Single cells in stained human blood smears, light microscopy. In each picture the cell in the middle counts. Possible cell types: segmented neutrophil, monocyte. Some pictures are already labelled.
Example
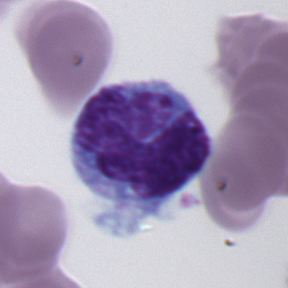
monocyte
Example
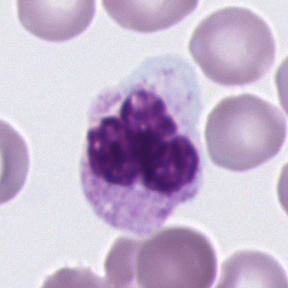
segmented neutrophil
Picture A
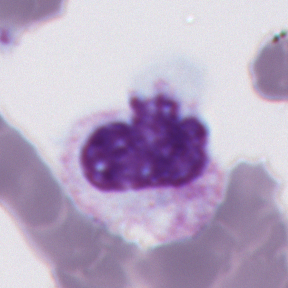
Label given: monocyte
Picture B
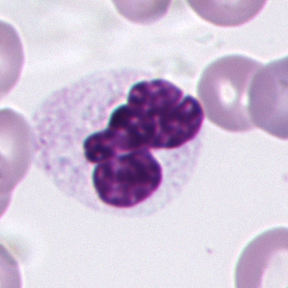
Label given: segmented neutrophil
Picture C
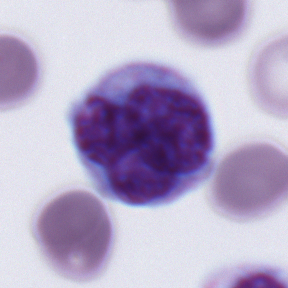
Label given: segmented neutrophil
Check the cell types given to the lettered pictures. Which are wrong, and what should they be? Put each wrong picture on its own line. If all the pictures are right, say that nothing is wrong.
A: not monocyte but segmented neutrophil
C: not segmented neutrophil but monocyte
